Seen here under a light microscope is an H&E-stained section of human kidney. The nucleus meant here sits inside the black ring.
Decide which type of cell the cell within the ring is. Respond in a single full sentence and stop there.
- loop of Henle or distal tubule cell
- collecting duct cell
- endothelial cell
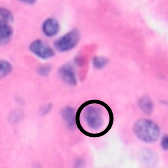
So far as cell type goes, the cell within the ring is a loop of Henle or distal tubule cell.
